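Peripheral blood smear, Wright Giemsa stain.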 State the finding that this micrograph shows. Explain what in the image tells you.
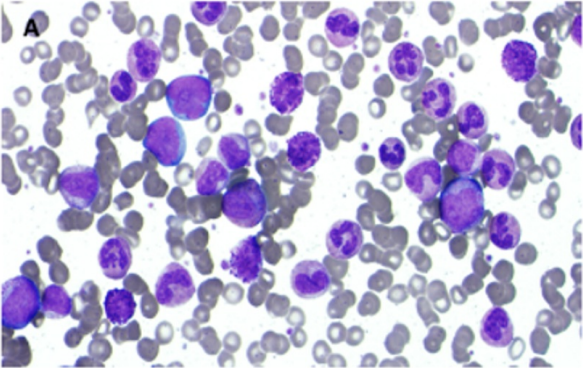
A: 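Nucleated white cells are very numerous among the red cells. Many white cells lie in every part of the field.
Conclusion: hyperleukocytosis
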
